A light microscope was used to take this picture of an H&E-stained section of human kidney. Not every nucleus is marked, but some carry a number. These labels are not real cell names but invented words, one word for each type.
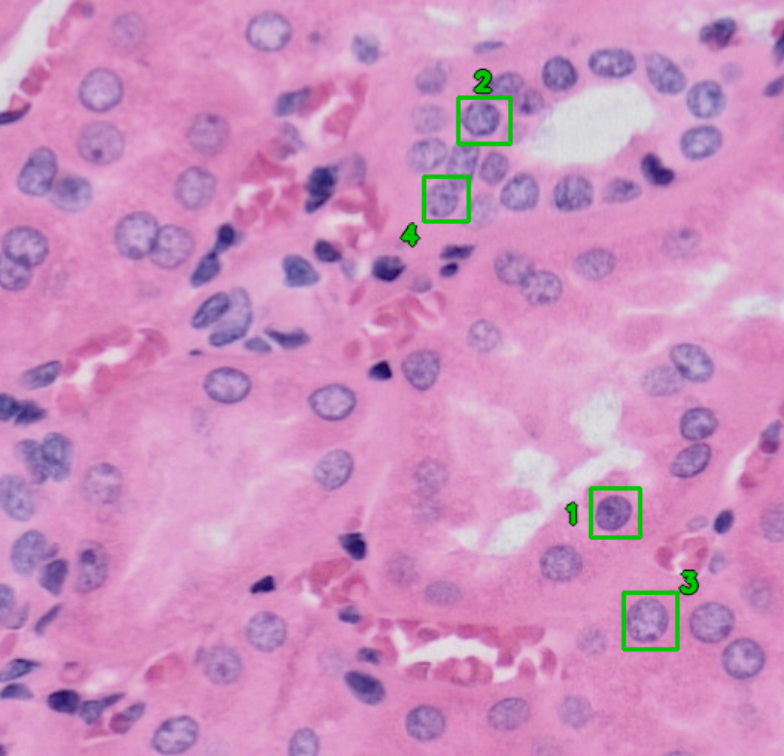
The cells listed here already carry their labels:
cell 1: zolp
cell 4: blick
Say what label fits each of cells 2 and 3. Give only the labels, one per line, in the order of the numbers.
blick
zolp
